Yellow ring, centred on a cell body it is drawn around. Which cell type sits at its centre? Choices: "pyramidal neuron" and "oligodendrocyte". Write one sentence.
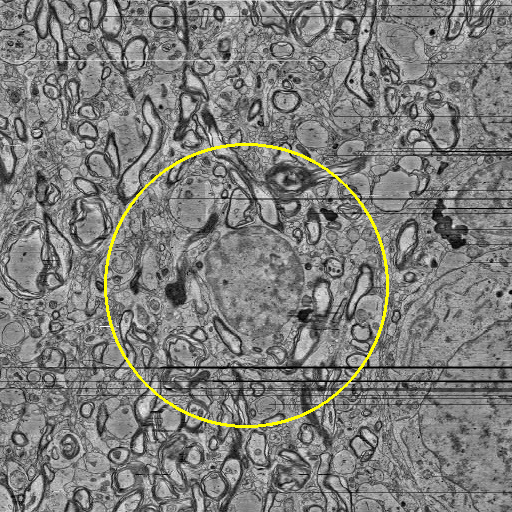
At the centre of the ring sits an oligodendrocyte.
